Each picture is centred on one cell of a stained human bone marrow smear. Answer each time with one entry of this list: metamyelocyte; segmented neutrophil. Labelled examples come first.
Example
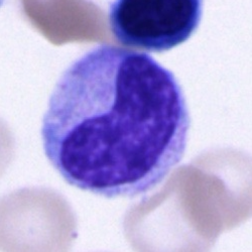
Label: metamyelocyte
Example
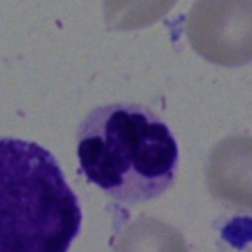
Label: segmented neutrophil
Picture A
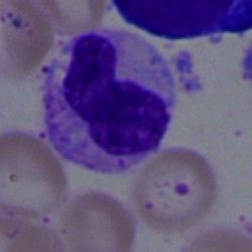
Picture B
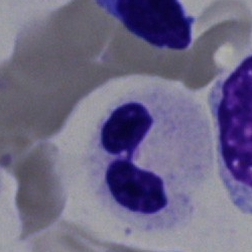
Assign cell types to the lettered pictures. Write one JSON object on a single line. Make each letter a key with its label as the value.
{"A": "metamyelocyte", "B": "segmented neutrophil"}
